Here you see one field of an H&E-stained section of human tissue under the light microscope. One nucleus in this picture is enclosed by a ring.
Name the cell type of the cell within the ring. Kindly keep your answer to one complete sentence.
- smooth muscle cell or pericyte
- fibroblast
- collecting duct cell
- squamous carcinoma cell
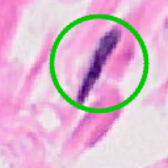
Within this tissue, the cell within the ring is a fibroblast.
